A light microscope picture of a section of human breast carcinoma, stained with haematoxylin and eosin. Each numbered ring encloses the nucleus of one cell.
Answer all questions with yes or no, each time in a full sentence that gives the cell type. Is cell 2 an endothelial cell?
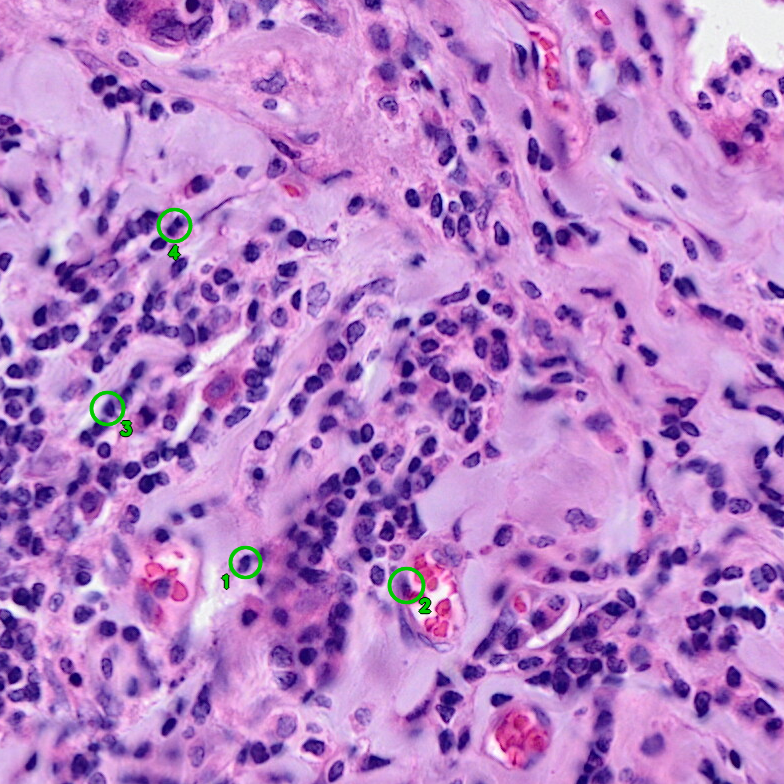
Yes, in this section the cell numbered 2 is an endothelial cell.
